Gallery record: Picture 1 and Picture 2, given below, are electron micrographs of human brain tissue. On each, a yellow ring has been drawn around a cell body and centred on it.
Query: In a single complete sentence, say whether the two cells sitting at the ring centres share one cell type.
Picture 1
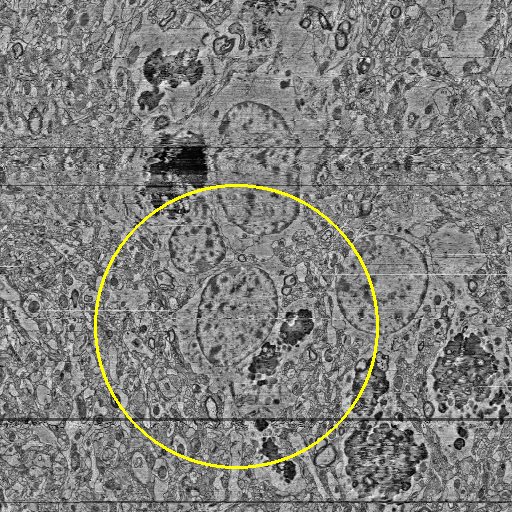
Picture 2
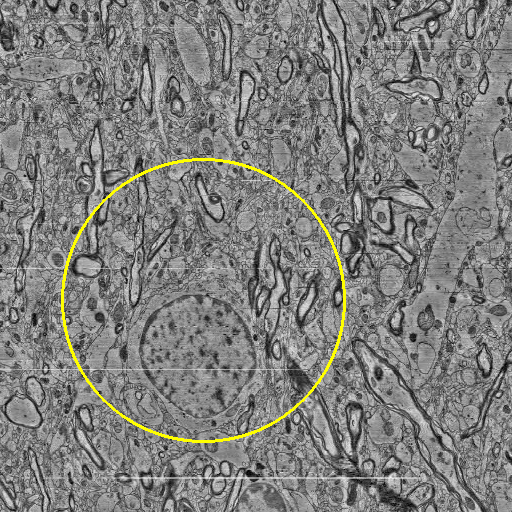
No, in the two pictures the cells at the rings' centres are of two separate types.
